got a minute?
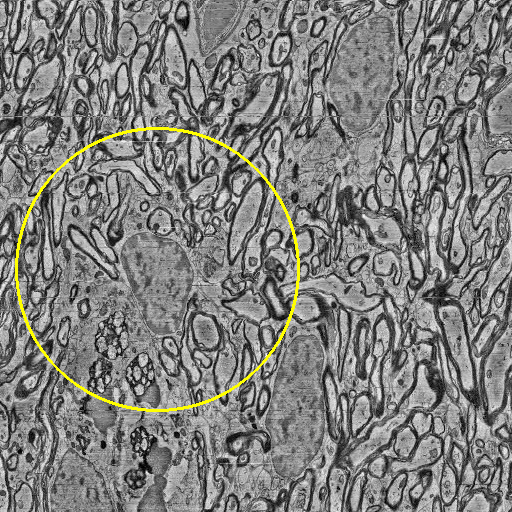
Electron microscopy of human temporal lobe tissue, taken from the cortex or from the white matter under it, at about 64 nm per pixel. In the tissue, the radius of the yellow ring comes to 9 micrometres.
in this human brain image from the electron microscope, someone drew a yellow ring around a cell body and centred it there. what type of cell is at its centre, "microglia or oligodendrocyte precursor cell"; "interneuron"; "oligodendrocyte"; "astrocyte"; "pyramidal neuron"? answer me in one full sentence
It's a microglial cell or oligodendrocyte precursor cell at the middle of that yellow ring in the shot.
